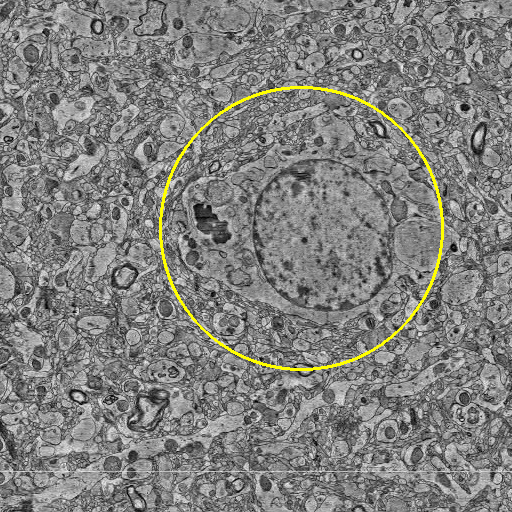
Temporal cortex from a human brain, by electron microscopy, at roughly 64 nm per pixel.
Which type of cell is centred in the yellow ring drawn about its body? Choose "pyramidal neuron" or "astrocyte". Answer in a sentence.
The yellow ring surrounds the cell body of an astrocyte.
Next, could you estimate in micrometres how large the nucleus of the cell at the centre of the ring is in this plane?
In this plane, roughly 9 micrometres across.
